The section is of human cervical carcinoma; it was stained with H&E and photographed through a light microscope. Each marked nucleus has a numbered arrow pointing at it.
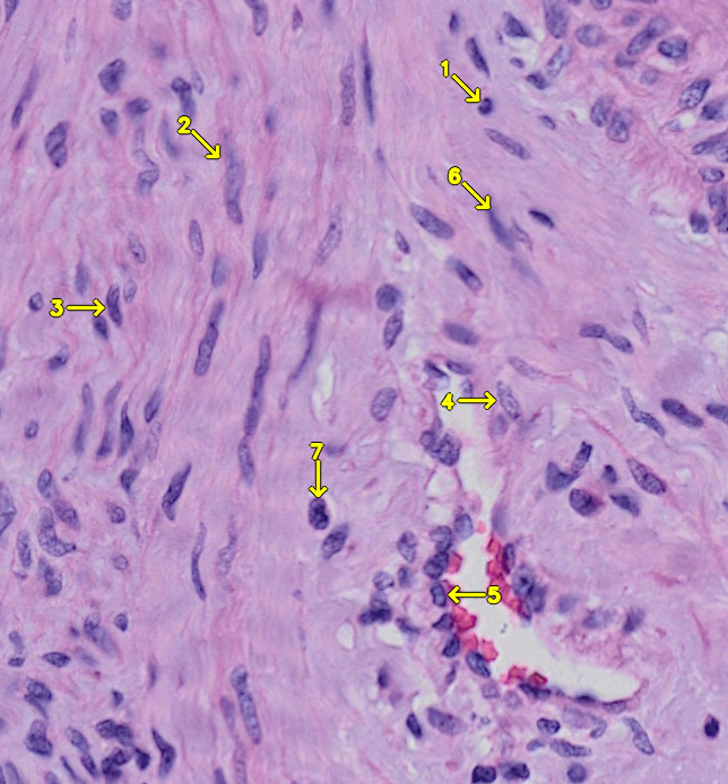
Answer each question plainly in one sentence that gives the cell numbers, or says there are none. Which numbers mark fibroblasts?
The cells marked 1 and 6 in the section are fibroblasts.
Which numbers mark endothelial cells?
Cell 5 is an endothelial cell; no further numbered cell is.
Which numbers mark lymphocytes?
Only the cell numbered 7 is a lymphocyte; none of the others is.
